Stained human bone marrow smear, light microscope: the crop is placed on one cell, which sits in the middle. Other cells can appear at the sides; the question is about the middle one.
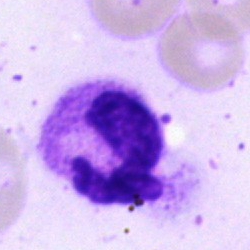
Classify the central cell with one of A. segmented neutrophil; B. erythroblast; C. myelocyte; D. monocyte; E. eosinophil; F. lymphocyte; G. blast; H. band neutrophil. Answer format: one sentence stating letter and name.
Of the choices given, option A is right, as the central cell is a segmented neutrophil.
